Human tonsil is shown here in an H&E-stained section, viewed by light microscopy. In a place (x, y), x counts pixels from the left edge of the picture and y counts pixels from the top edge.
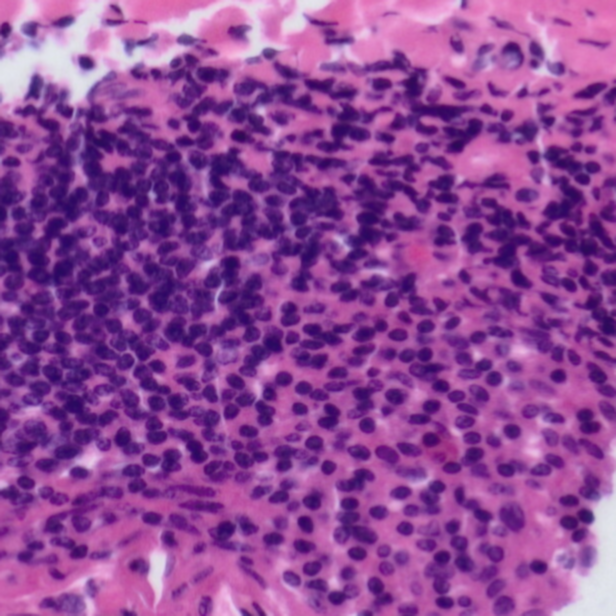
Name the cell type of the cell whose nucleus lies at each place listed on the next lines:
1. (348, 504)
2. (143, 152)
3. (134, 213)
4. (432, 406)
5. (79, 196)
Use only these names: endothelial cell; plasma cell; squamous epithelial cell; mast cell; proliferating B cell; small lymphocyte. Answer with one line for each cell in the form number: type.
1: plasma cell
2: small lymphocyte
3: small lymphocyte
4: plasma cell
5: small lymphocyte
